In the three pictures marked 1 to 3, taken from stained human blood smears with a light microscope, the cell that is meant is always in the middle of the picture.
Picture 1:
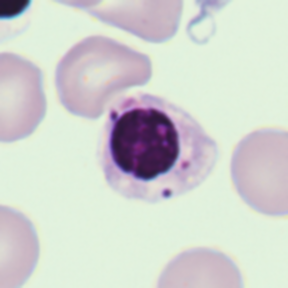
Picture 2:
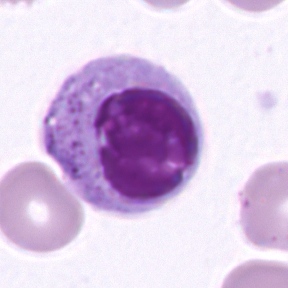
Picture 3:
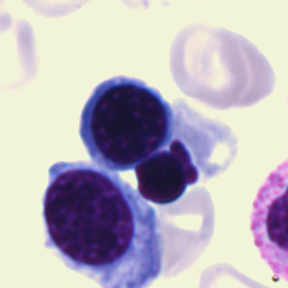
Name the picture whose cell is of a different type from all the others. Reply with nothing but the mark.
2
